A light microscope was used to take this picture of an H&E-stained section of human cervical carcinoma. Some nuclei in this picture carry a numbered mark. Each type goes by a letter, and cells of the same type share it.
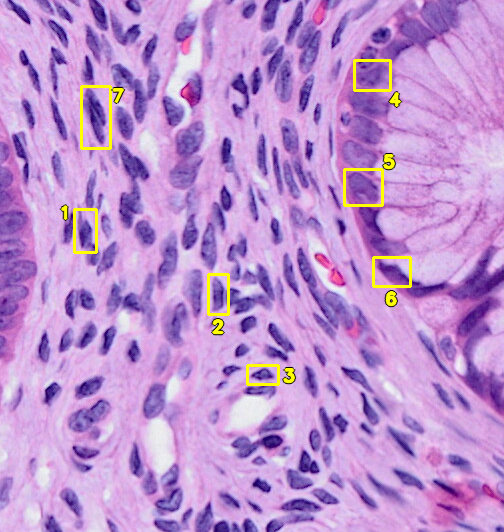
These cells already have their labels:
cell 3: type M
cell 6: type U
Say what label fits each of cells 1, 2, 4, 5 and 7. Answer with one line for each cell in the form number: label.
1: type M
2: type M
4: type U
5: type U
7: type M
